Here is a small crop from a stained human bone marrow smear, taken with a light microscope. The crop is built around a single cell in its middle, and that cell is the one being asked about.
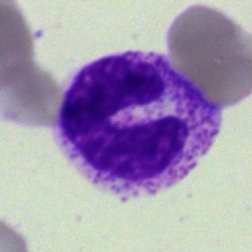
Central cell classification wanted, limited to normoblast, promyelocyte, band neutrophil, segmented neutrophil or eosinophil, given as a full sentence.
Classification of the middle cell gives a band neutrophil.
